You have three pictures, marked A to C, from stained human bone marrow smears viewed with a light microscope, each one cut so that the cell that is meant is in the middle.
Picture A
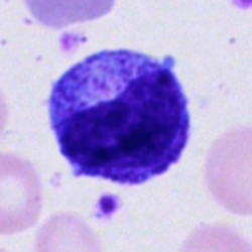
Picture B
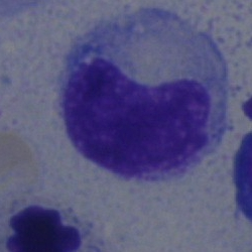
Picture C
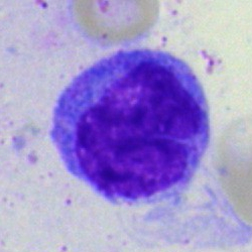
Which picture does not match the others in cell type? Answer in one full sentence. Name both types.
Picture C differs, because its cell is a monocyte and the rest are metamyelocytes.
